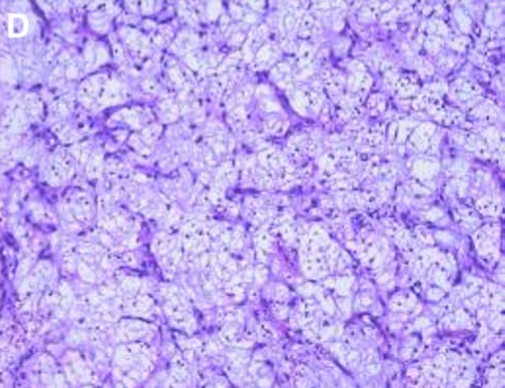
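The cells are grouped into nests and sheets by a delicate network of darker purple strands. Small, dark, dot-like nuclei are scattered through the field, and a denser cluster of small dark cells lies at the lower left edge.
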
